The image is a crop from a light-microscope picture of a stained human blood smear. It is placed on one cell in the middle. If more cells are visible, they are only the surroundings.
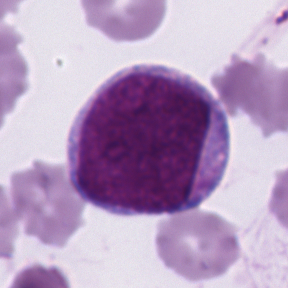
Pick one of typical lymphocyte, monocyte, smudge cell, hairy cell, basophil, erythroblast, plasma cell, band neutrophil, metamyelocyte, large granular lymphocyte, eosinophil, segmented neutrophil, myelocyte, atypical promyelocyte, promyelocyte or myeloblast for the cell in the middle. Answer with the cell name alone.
myeloblast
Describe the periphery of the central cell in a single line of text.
A smooth, projection-free outline is what this cell has.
